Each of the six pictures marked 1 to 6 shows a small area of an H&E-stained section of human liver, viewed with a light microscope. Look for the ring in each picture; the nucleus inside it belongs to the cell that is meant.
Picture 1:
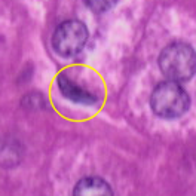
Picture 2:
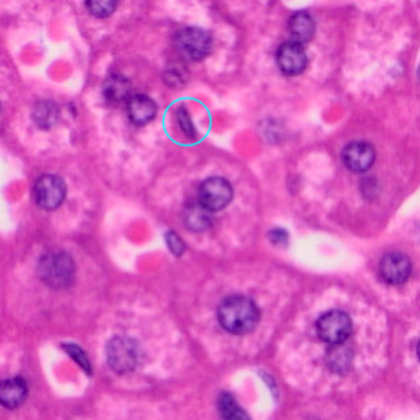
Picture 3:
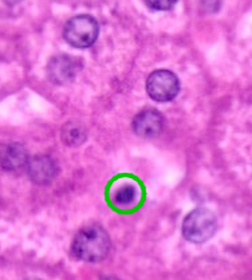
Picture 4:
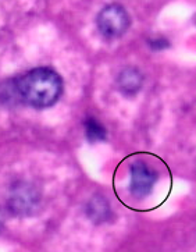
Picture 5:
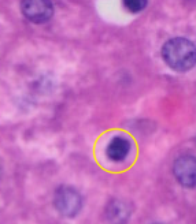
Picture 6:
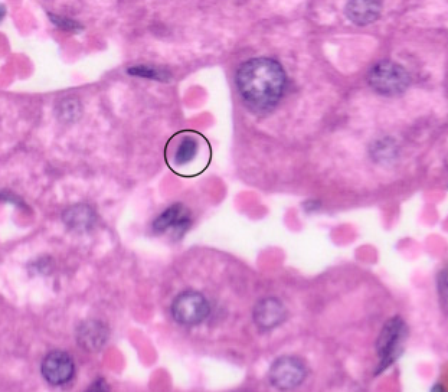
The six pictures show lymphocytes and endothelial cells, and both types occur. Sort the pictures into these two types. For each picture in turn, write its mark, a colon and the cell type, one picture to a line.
1: endothelial cell
2: endothelial cell
3: lymphocyte
4: endothelial cell
5: lymphocyte
6: lymphocyte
